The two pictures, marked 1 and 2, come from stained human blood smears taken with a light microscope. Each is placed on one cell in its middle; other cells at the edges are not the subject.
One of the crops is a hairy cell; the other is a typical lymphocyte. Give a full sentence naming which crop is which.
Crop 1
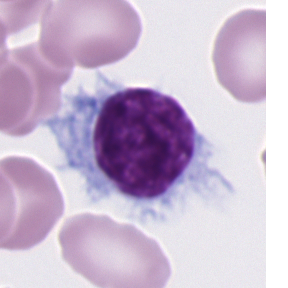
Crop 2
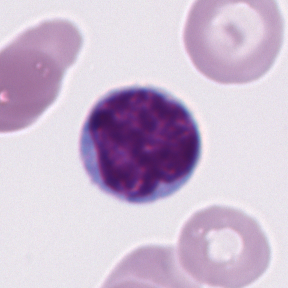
Crop 1 holds a hairy cell; crop 2 holds a typical lymphocyte.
